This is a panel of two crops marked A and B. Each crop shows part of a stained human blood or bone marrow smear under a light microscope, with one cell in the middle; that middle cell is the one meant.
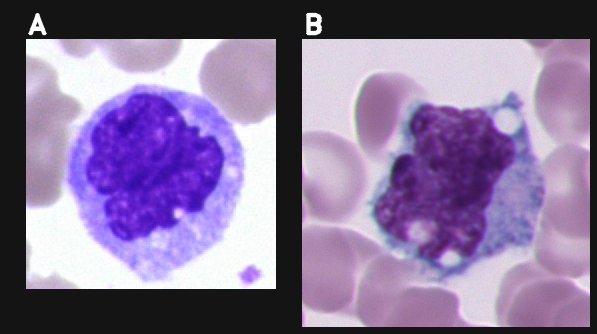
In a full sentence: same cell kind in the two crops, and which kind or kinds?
Yes, the cells of interest in both crops are monocytes.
